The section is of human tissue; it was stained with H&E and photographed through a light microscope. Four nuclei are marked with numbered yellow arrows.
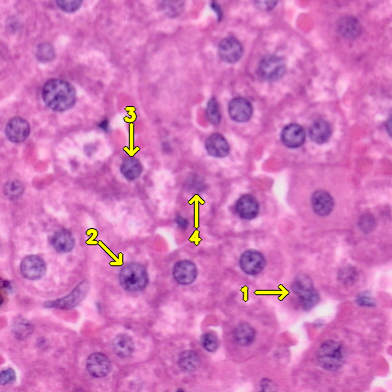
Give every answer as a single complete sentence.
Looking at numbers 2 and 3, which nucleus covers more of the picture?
The larger nucleus is 2, at roughly 1.5 times the area of 3.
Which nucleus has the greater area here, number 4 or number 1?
Of the two, number 1 is bigger and takes up about 2.5 times the area of number 4.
